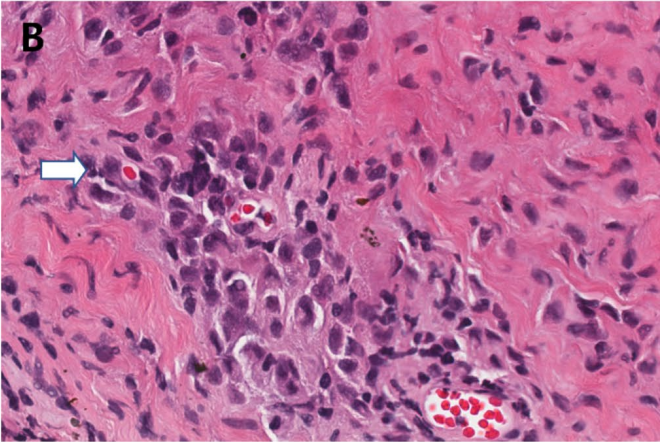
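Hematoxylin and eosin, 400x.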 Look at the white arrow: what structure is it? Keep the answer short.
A: Vascular structures.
